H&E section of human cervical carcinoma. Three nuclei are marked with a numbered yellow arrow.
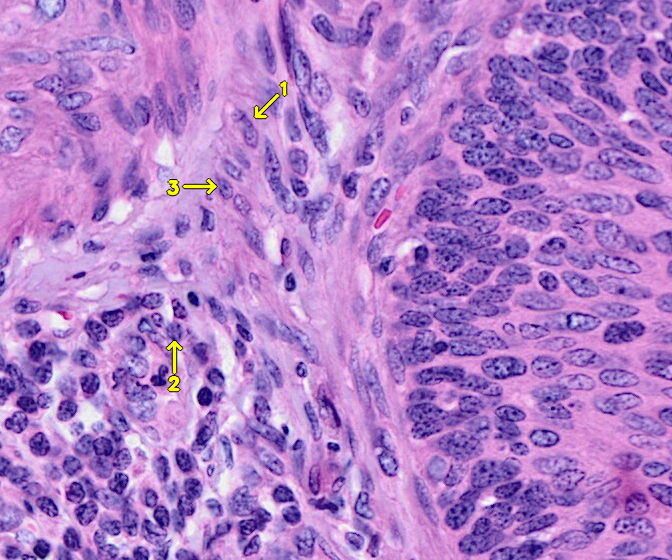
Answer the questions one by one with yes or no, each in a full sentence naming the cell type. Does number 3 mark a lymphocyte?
No, number 3 belongs to a smooth muscle cell, not to a lymphocyte.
